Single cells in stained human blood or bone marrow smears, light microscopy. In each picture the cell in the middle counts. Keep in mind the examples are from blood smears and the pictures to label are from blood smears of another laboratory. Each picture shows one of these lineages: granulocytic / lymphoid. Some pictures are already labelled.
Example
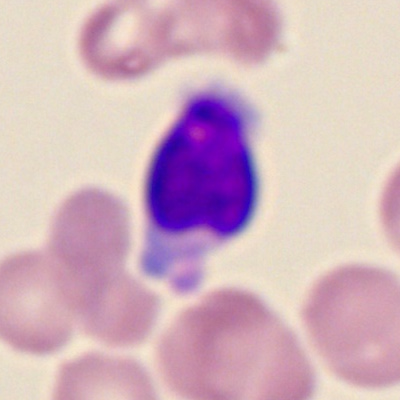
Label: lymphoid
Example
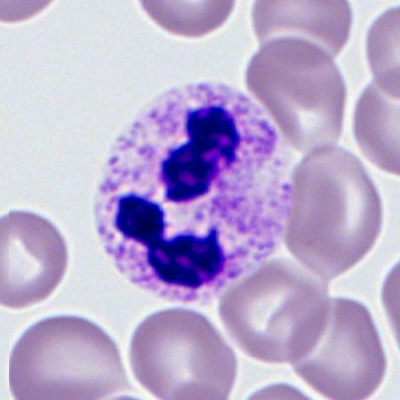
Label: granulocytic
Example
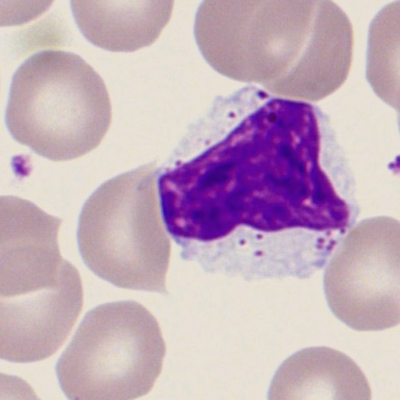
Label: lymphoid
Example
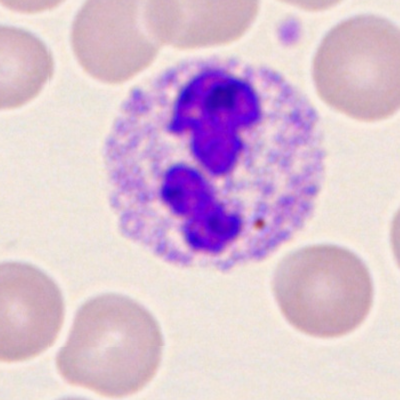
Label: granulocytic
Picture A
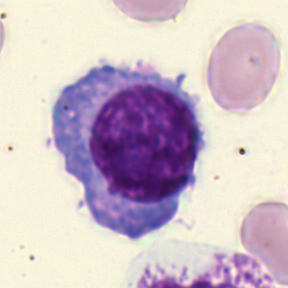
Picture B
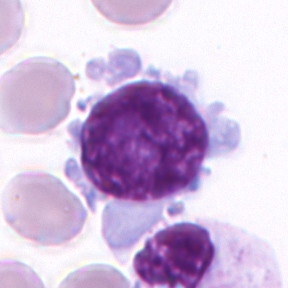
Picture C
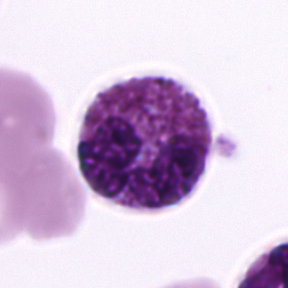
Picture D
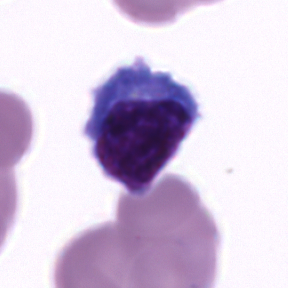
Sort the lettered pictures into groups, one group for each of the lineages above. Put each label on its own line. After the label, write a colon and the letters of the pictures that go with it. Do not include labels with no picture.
granulocytic: C
lymphoid: A, B, D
